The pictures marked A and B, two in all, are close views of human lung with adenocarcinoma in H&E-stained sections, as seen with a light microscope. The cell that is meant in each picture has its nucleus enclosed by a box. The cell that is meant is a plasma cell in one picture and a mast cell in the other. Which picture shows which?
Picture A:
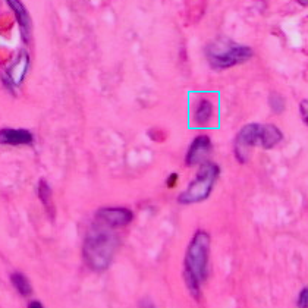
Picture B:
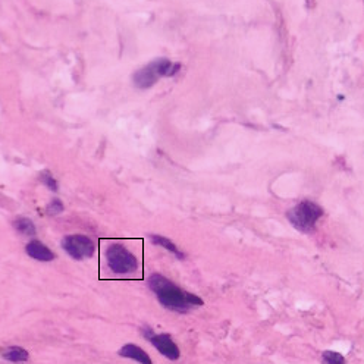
A: mast cell
B: plasma cell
